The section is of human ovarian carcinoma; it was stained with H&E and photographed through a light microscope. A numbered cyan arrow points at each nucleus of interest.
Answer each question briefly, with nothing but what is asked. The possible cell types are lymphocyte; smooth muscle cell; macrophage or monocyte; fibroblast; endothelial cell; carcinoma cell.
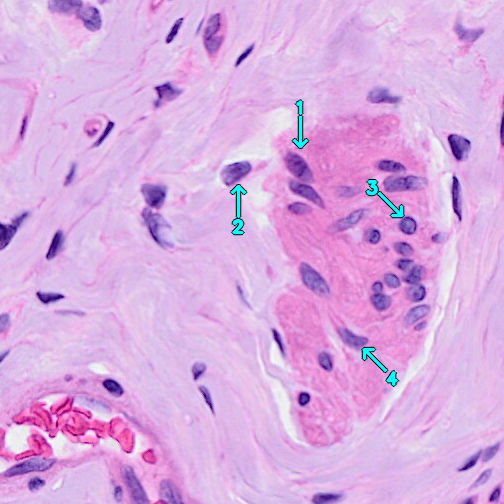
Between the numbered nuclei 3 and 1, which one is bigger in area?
1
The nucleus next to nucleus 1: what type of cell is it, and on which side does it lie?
a smooth muscle cell; below nucleus 1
